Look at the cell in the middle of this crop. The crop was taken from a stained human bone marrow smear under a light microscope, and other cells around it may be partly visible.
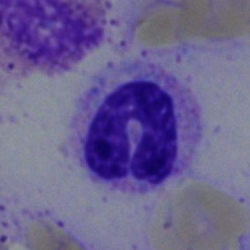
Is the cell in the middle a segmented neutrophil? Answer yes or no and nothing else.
no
